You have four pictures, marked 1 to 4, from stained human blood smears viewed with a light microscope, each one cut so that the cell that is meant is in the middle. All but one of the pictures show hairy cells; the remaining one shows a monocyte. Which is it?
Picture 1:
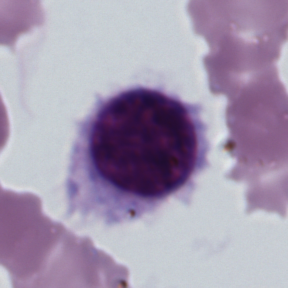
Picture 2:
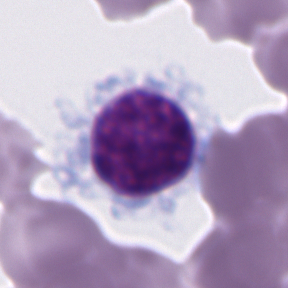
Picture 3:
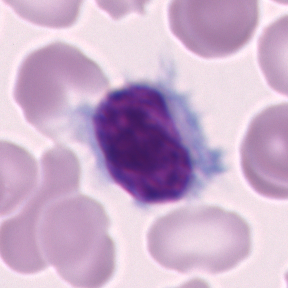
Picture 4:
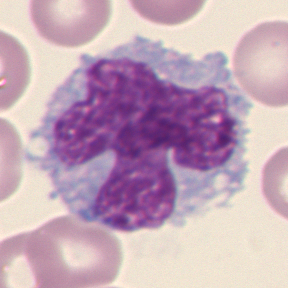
4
